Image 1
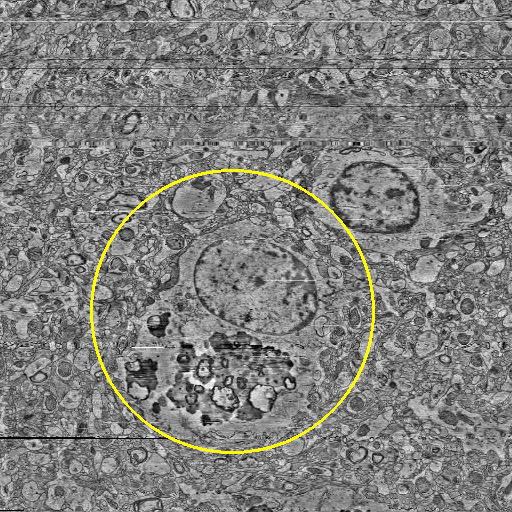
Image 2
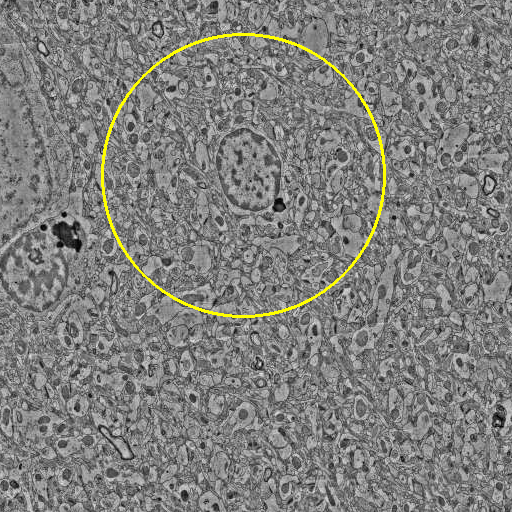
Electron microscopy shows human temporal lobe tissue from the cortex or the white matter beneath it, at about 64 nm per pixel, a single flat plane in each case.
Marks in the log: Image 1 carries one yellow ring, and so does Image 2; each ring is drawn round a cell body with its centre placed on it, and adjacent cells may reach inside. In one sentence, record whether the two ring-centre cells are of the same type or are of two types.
The two cells at the ring centres, one in each image, are of two types.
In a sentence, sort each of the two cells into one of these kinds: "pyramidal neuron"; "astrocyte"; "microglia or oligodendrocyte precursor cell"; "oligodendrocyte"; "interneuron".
The first of the two cells is an astrocyte, and the second is a microglial cell or oligodendrocyte precursor cell.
